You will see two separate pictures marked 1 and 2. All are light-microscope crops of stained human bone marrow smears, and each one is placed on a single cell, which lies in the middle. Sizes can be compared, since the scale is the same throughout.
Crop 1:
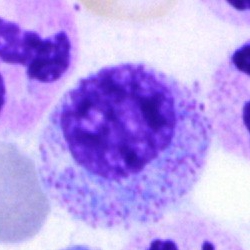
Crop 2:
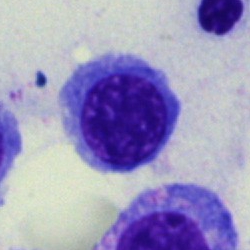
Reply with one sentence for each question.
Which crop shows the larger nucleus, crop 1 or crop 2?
It is the nucleus in crop 1, about 1.5 times as large in area as the one in crop 2.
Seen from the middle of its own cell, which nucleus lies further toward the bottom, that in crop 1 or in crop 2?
It is the nucleus in crop 2 that lies further toward the bottom of its cell.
